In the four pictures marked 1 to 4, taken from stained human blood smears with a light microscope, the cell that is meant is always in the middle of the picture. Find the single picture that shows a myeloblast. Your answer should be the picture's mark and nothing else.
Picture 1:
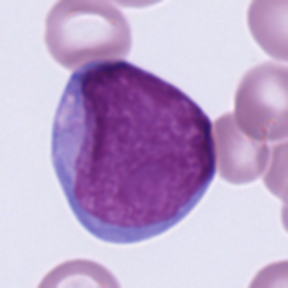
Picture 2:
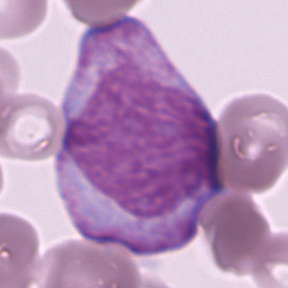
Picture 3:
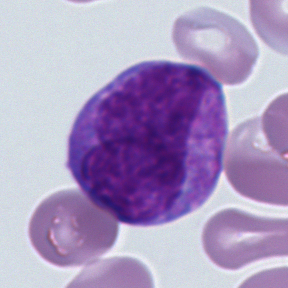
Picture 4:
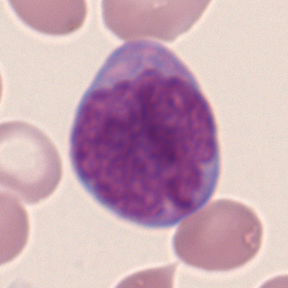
1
